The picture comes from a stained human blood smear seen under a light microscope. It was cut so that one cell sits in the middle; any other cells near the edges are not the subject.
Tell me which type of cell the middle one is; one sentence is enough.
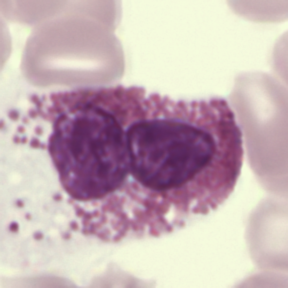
Among the cells in view, the one in the middle is an eosinophil.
